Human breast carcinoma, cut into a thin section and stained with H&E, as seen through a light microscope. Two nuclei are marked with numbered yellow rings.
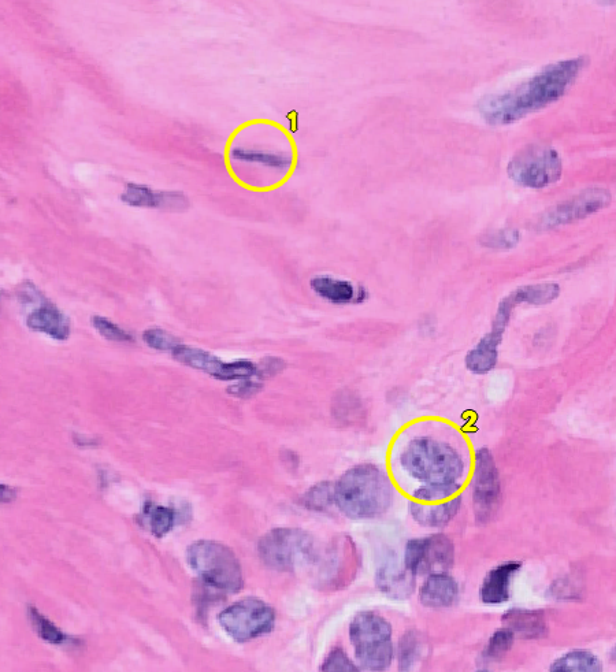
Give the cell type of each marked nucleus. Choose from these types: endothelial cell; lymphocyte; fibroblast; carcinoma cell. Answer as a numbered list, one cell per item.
1. fibroblast
2. carcinoma cell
